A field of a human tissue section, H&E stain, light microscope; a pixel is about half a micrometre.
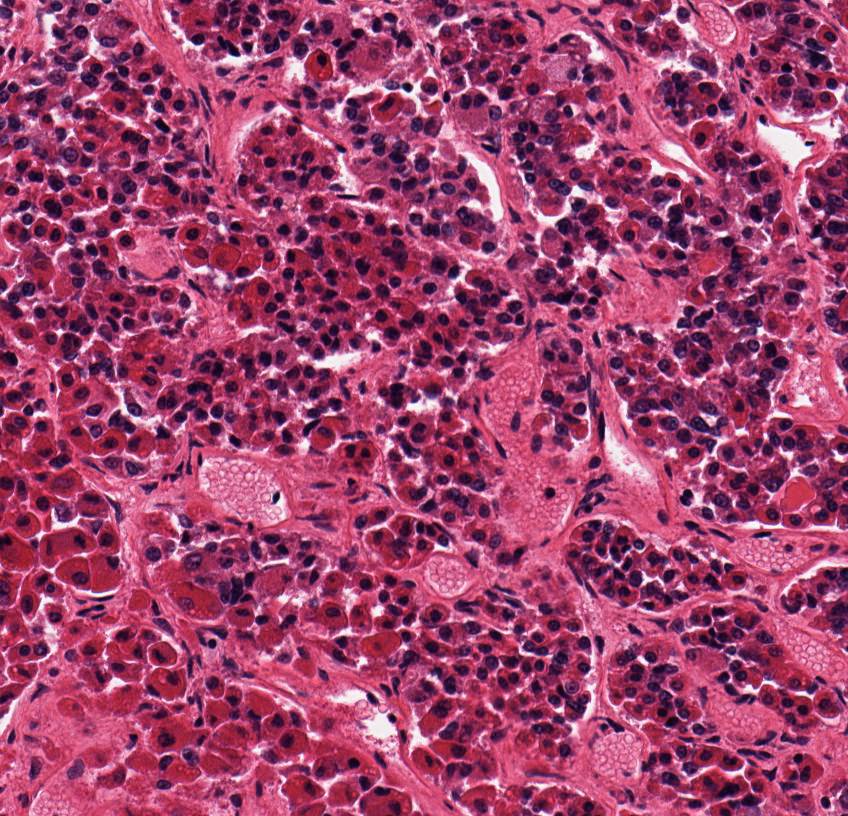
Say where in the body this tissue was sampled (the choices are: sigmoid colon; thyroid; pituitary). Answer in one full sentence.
The sample on this slide was obtained from the pituitary.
